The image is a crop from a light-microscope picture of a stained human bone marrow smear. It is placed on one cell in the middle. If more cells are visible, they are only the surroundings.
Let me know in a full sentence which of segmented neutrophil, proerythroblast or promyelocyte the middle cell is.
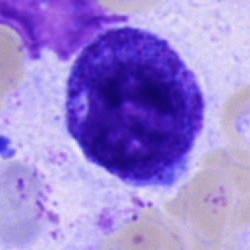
The cell nearest the centre of this crop is a promyelocyte.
